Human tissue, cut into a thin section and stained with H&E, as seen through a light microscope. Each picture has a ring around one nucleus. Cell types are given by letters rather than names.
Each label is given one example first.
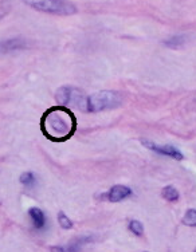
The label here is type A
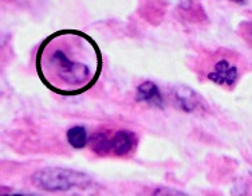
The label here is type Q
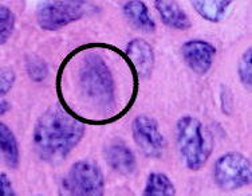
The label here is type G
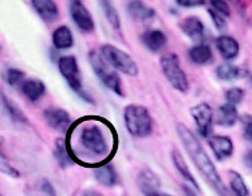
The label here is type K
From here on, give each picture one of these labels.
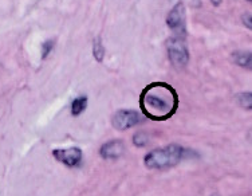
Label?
type A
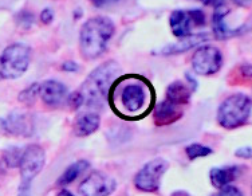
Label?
type K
